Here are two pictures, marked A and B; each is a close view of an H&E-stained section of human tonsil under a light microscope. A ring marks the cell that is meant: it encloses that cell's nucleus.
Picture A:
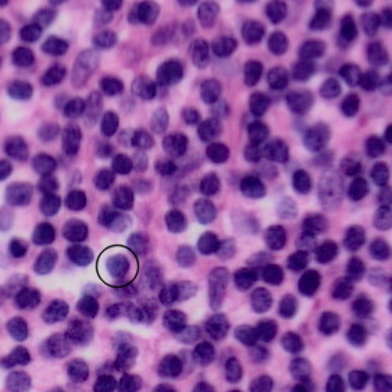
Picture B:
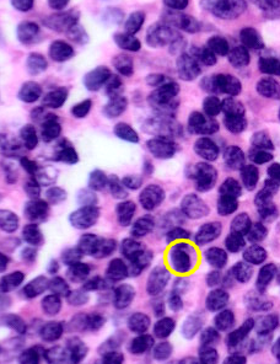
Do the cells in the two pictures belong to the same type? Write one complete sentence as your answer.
Yes, they are the same type: both are small lymphocytes.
